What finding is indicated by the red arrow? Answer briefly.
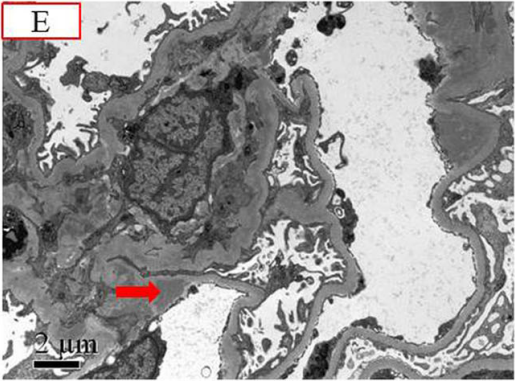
Mesangial electron-dense deposition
